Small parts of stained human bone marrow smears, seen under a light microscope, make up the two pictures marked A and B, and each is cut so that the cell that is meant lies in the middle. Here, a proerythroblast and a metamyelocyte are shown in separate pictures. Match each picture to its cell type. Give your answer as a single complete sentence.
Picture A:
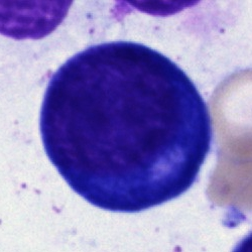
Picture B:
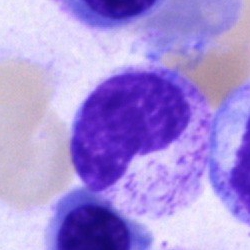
Picture A shows a proerythroblast and picture B shows a metamyelocyte.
